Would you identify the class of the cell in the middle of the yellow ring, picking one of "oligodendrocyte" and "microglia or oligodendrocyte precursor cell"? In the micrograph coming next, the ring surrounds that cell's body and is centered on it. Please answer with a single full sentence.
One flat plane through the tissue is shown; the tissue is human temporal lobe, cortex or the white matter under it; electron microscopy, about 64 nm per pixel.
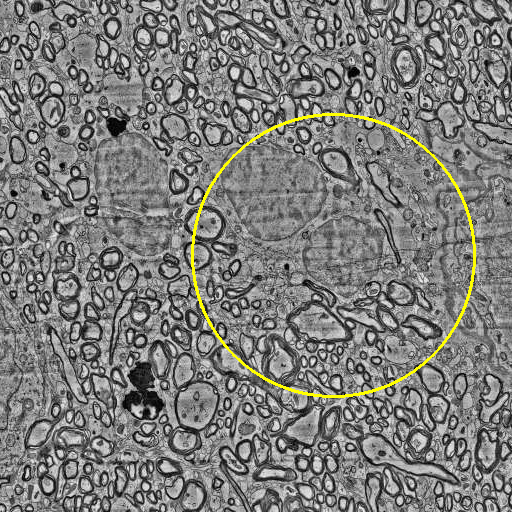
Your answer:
In the micrograph, it is an oligodendrocyte whose body lies at the ring's center.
